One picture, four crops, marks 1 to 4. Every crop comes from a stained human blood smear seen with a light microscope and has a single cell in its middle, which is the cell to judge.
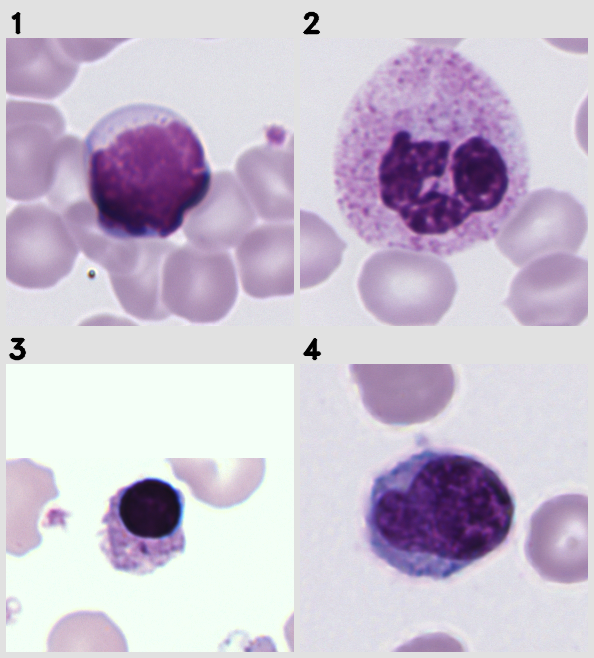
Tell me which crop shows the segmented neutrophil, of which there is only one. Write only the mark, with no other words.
2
